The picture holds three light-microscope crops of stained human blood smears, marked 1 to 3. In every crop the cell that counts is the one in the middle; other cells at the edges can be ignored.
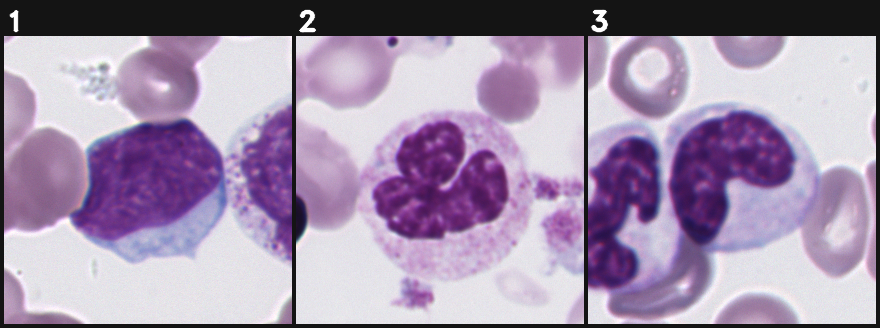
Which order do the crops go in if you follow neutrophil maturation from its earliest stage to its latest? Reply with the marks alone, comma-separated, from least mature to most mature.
1, 3, 2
